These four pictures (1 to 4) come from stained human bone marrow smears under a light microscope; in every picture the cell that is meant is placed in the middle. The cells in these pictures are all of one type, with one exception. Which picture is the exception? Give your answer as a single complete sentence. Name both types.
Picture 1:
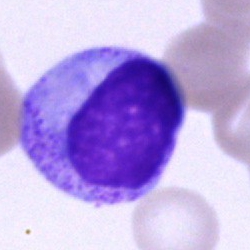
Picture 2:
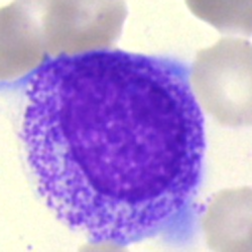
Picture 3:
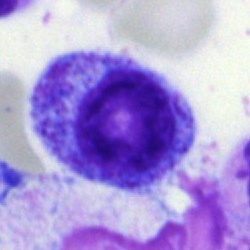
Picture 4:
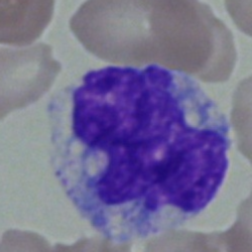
The others show myelocytes, but picture 4 shows a monocyte.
